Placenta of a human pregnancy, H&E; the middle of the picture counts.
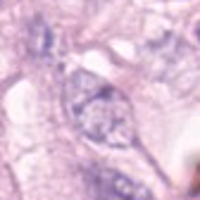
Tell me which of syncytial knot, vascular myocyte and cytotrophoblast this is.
The picture shows a cytotrophoblast.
